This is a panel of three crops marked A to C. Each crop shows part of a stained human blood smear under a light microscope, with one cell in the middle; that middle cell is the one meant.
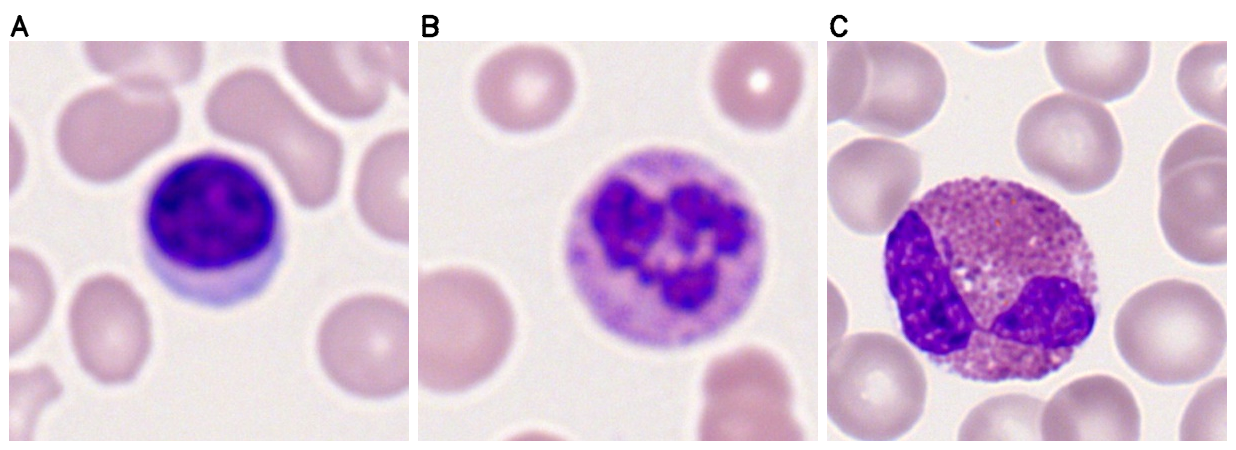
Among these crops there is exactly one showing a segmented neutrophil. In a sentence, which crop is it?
So the crop with a segmented neutrophil at its center is crop B.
